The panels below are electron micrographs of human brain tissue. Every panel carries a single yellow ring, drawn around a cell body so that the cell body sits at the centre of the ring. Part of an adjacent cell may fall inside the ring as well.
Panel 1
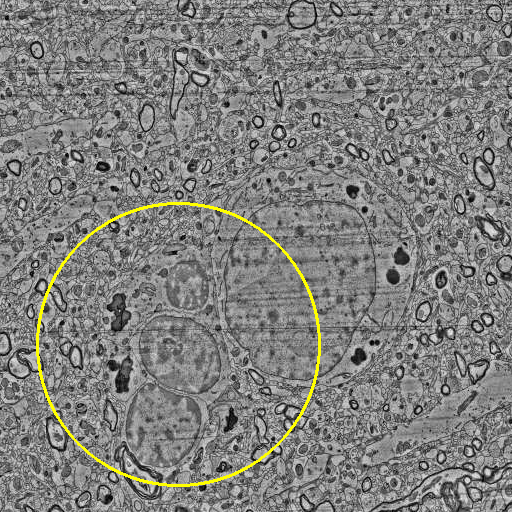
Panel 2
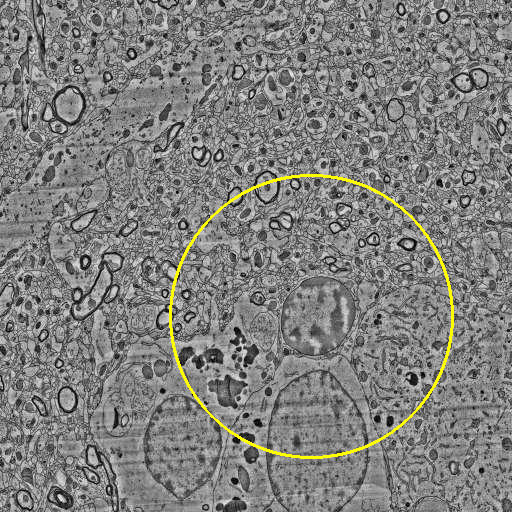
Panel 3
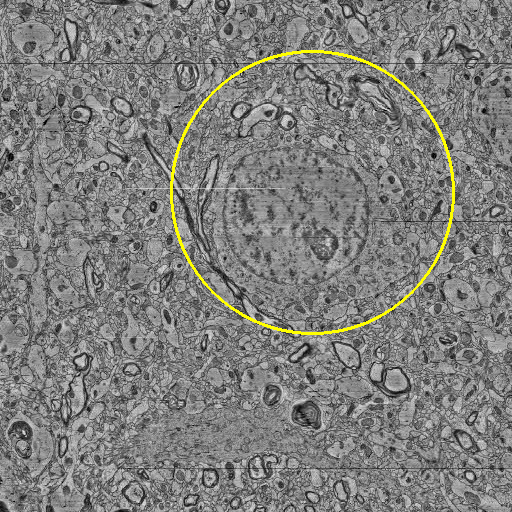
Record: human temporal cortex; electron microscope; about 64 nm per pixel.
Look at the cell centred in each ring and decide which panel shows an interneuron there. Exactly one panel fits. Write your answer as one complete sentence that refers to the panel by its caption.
Panel 3 has it at the centre of its ring.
